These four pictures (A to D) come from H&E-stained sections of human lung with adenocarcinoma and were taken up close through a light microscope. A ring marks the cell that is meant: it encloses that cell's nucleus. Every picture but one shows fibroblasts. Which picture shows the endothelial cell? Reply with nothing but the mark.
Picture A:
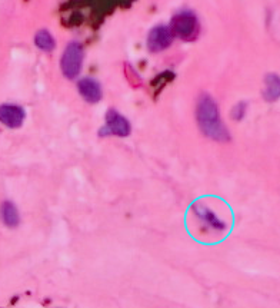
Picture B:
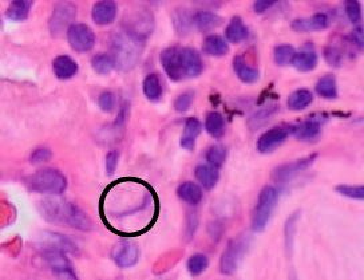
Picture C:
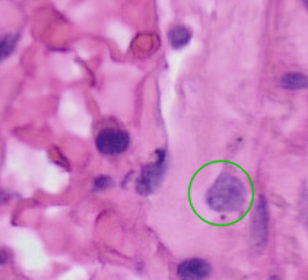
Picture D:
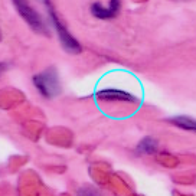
D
